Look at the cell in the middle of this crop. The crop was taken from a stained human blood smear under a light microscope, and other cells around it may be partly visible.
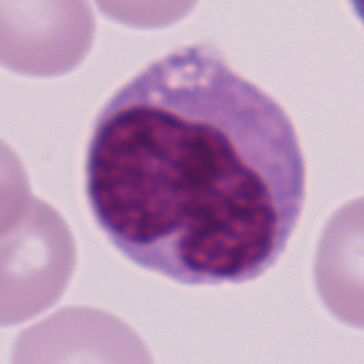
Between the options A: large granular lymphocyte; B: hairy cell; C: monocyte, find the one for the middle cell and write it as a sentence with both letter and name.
The correct response is option C, naming the cell in the middle as a monocyte.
